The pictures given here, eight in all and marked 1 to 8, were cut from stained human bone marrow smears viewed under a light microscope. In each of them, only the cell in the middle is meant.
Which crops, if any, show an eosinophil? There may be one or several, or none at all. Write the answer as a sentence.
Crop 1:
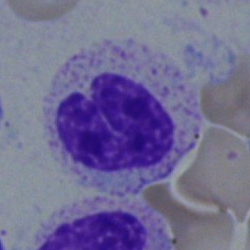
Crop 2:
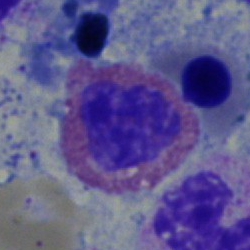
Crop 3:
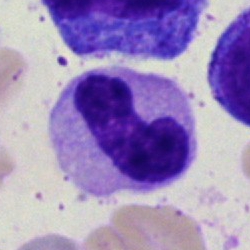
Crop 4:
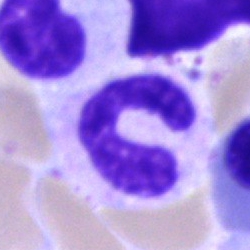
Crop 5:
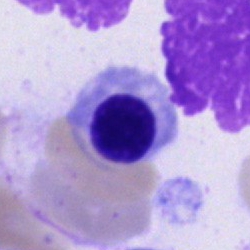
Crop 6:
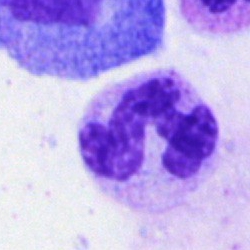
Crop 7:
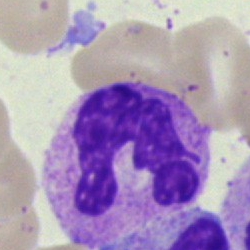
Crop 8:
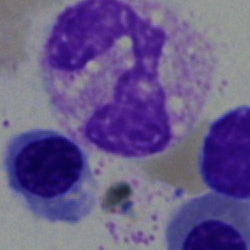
Crop 2 stands alone among the crops in showing an eosinophil.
